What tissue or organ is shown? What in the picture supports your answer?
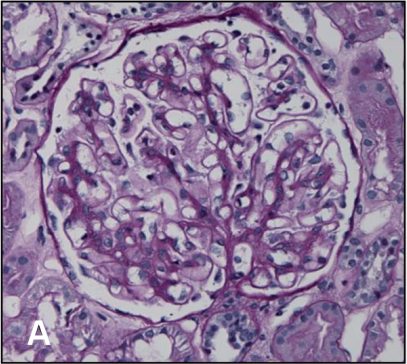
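Glomeruli. A round tuft of capillary loops fills the centre. A thin capsule surrounds the tuft with a clear space between. Tubules with pink cytoplasm lie around it.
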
